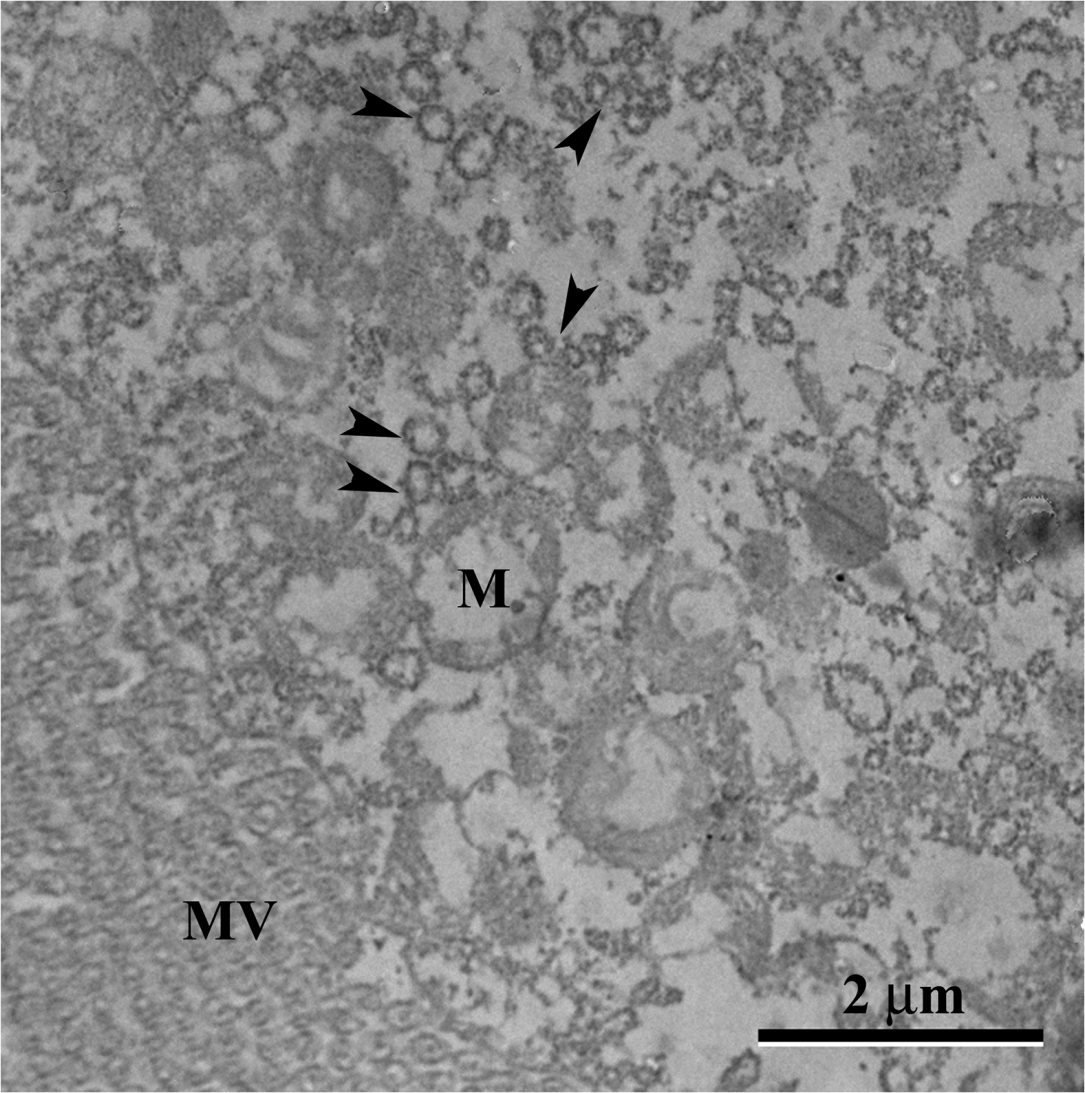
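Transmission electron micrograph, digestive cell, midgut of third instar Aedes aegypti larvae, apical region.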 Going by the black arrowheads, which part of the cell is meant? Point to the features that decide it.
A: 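The arrowheads point to small round membrane profiles with pale centres. The rims of these rounded profiles are studded with dense granules. Many such ring-like granular profiles are scattered through the cytoplasm.
Vesicular rough endoplasmic reticulum.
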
